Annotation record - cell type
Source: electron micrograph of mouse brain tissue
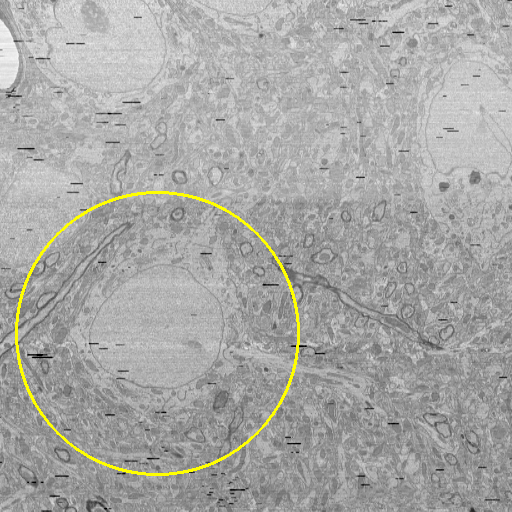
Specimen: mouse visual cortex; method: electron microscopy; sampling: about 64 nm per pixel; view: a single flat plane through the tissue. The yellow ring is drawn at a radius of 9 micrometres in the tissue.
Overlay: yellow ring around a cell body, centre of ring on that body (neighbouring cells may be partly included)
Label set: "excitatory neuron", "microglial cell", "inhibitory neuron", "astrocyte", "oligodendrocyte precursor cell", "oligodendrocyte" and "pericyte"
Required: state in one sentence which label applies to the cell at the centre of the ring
This cell should be labelled as an excitatory neuron.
